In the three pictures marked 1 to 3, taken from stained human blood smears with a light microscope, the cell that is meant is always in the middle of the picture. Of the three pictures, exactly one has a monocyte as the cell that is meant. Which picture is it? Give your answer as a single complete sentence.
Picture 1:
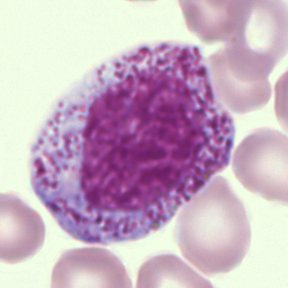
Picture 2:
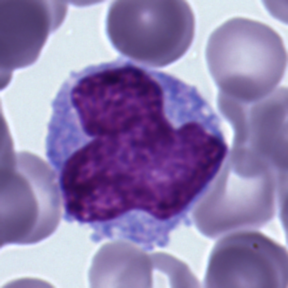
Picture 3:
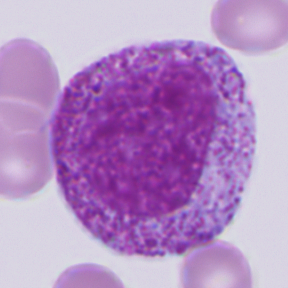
Picture 2 shows the monocyte.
